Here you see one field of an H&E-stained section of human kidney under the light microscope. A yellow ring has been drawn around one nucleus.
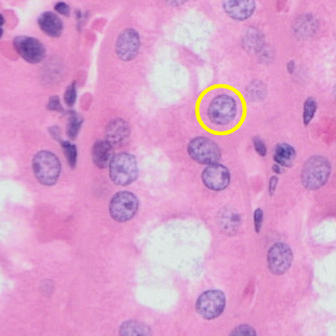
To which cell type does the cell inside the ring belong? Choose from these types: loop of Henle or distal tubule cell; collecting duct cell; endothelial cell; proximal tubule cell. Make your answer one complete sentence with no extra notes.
In the tissue under study, the cell inside the ring is a proximal tubule cell.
